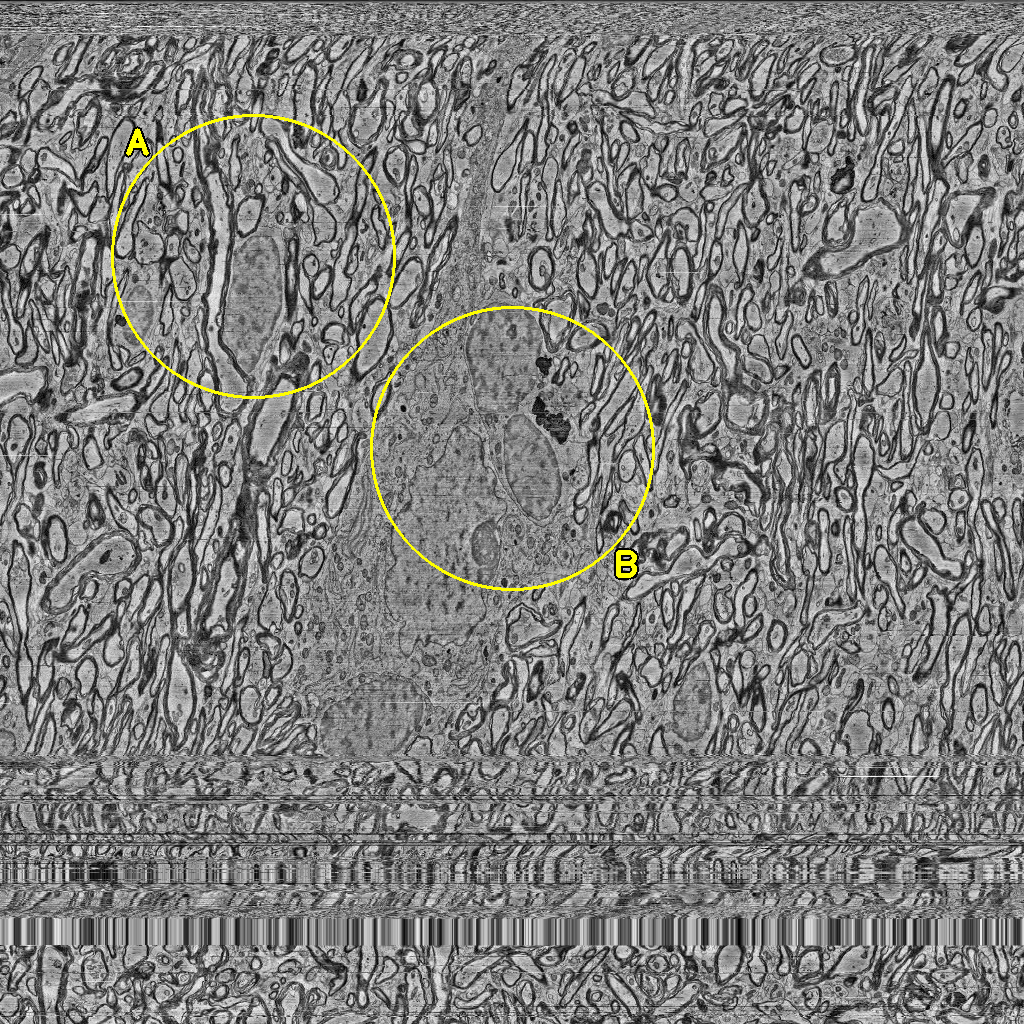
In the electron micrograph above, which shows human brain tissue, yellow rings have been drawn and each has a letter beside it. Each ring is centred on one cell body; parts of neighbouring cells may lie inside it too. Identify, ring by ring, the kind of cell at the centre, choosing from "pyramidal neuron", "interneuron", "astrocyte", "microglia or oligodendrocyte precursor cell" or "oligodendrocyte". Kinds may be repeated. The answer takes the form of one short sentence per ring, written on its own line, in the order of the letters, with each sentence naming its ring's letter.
Inside ring A, at its centre, is an oligodendrocyte.
Inside ring B, at its centre, is an oligodendrocyte.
